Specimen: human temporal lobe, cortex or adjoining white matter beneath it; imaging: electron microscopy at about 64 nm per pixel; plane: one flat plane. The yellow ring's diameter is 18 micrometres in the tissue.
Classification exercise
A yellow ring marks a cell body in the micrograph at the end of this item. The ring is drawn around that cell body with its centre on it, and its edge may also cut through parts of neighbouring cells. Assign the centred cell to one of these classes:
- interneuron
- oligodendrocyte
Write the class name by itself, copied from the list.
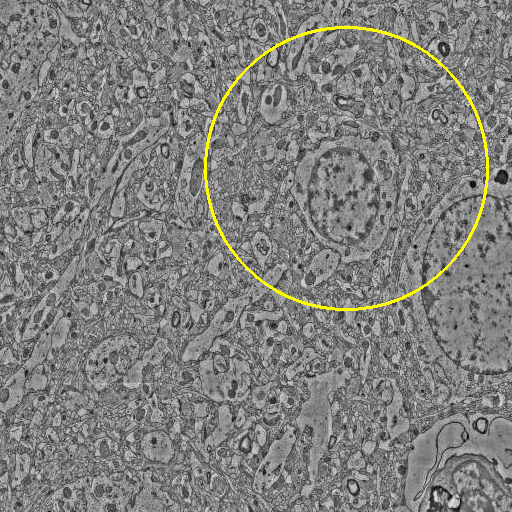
interneuron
